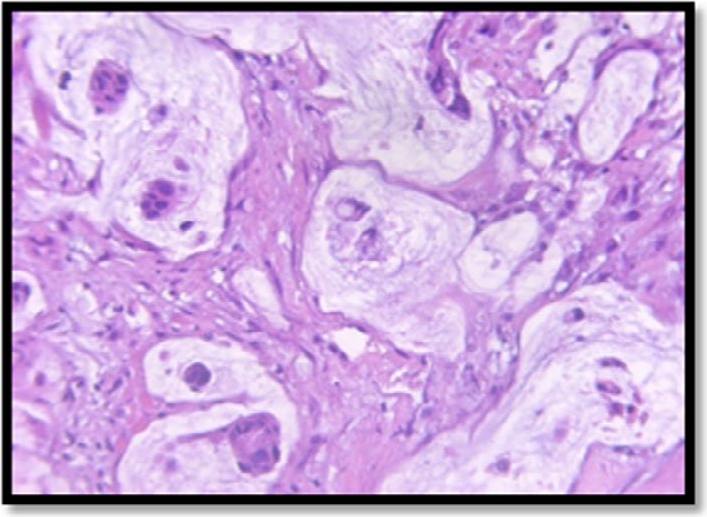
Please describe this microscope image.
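This is a carcinoma in which tumour cells float, singly or in small clusters, within pale grey-lilac pools of mucus. The pools are separated by pink fibrous septa. The tumour cells have enlarged, dark purple nuclei that vary in size and shape.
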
